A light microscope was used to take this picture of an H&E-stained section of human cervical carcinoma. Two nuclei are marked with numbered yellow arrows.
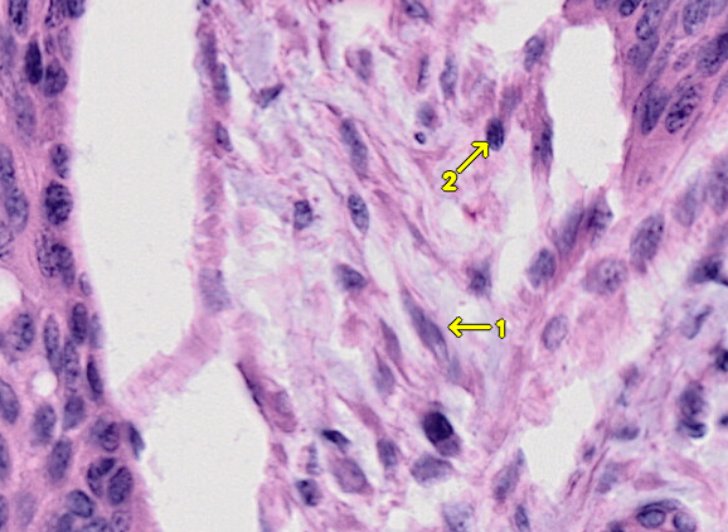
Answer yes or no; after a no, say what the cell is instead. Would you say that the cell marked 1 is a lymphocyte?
No, it is a fibroblast.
